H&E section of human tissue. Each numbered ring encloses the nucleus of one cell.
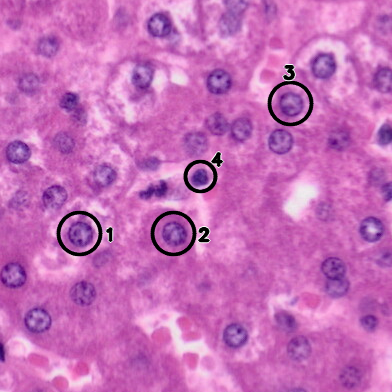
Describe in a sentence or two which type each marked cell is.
Cells 1, 2 and 3 are hepatocytes. Cell 4 is a lymphocyte.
